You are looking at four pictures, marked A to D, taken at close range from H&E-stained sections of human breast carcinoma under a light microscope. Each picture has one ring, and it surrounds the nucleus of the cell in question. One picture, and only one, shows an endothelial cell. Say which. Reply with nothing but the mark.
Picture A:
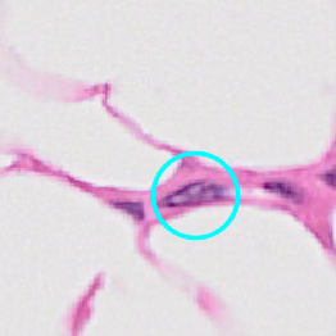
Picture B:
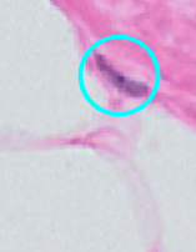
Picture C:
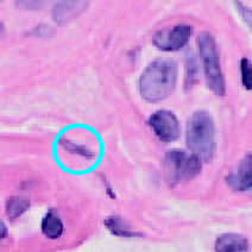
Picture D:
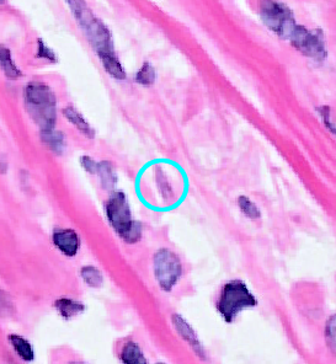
A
